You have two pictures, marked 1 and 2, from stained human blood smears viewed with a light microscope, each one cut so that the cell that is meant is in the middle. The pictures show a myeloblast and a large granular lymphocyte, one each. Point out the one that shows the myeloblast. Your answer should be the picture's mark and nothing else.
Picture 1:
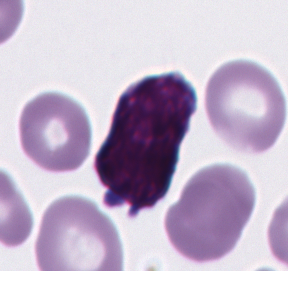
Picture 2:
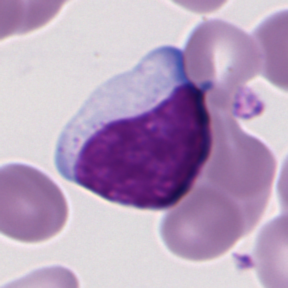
1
